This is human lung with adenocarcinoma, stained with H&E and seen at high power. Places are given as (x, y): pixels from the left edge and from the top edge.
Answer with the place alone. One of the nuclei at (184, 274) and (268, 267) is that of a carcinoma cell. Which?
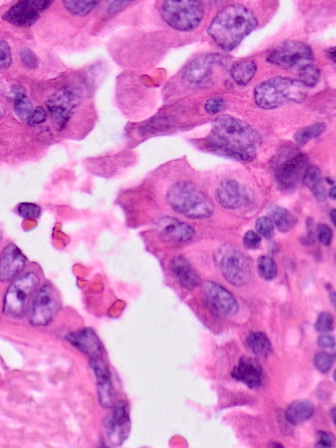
(184, 274)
